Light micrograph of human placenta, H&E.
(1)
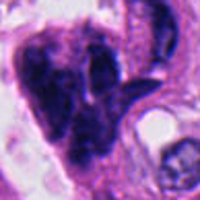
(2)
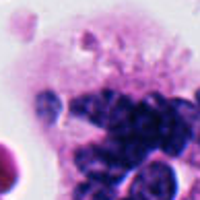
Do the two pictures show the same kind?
Yes, both are syncytial knots.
